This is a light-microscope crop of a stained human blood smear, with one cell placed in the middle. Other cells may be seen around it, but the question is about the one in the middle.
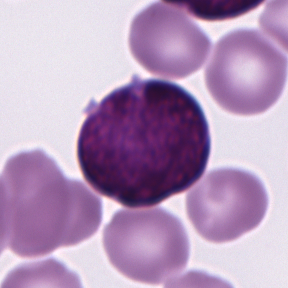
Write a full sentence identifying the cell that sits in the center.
In the central position of this crop, the cell is a myeloblast.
